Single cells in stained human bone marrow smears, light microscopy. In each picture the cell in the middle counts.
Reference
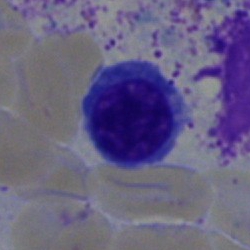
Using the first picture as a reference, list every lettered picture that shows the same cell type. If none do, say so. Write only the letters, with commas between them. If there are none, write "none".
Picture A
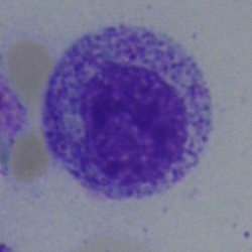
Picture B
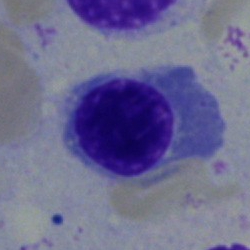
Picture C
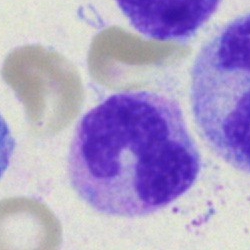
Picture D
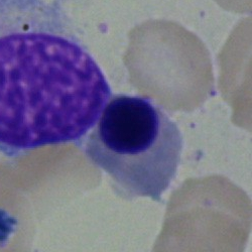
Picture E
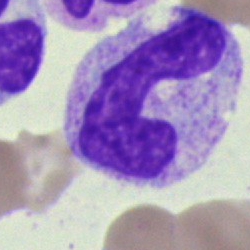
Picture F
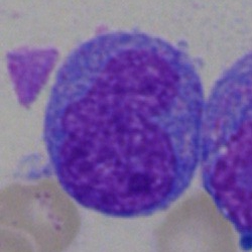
B, D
